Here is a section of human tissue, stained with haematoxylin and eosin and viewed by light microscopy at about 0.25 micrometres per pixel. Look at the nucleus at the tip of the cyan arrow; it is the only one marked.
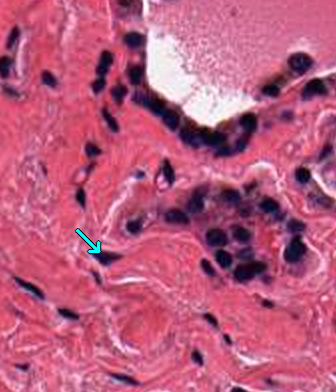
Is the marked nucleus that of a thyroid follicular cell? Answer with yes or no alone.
no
